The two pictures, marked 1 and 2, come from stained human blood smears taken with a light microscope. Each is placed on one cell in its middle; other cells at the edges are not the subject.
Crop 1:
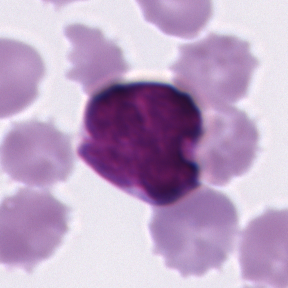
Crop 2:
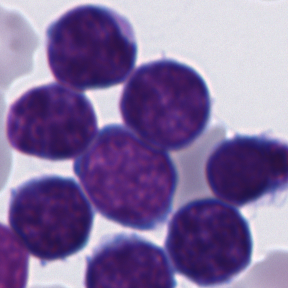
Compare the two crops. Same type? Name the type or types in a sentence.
Yes, both crops show a cell each, and these are myeloblasts.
